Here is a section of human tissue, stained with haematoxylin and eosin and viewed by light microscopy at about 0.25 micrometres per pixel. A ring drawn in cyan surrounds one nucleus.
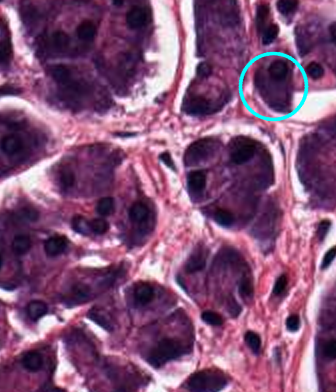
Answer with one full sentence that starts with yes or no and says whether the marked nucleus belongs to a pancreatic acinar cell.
Yes, the nucleus marked in the image belongs to a pancreatic acinar cell.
